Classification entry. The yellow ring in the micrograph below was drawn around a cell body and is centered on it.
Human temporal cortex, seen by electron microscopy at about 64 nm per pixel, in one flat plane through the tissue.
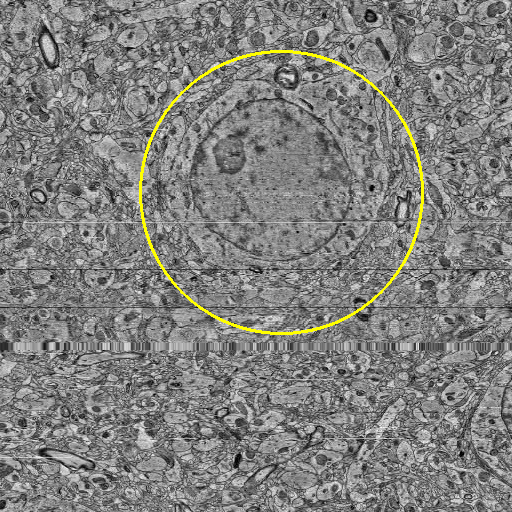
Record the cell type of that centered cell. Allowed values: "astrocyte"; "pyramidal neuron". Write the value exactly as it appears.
pyramidal neuron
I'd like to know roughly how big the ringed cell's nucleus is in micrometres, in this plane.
Roughly 11 micrometres across for the nucleus, in this plane.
